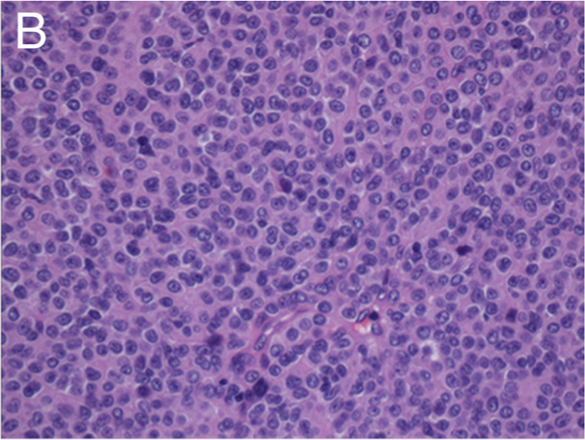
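Sheet of tumor cells, relatively uniform and closely packed, with round to oval nuclei. The nuclei have fine chromatin and lie centrally in pale pink cytoplasm. Cells are arranged diffusely without glands or clear fascicles. Scattered nuclei are enlarged and darker than the rest, showing local atypia. A small vessel with a few red cells is seen near the lower centre.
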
